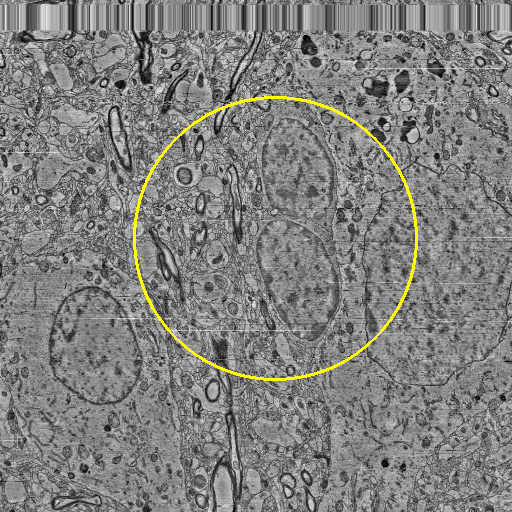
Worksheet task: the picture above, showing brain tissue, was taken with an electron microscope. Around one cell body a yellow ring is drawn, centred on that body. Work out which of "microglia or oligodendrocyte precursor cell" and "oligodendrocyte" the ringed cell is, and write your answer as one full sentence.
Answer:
It is an oligodendrocyte whose cell body lies at the centre of the yellow ring.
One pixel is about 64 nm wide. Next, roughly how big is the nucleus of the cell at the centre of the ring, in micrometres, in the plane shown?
About 8 by 5 micrometers; the nucleus is clearly longer than it is wide in this plane.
